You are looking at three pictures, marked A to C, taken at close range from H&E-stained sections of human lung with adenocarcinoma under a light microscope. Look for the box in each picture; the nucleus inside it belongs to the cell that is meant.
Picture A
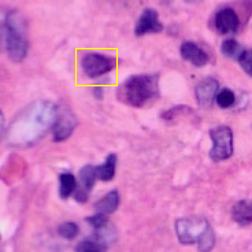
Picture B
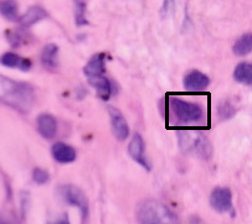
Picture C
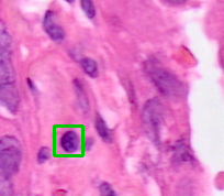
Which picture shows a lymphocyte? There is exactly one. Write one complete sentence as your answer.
The picture with the lymphocyte is C.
